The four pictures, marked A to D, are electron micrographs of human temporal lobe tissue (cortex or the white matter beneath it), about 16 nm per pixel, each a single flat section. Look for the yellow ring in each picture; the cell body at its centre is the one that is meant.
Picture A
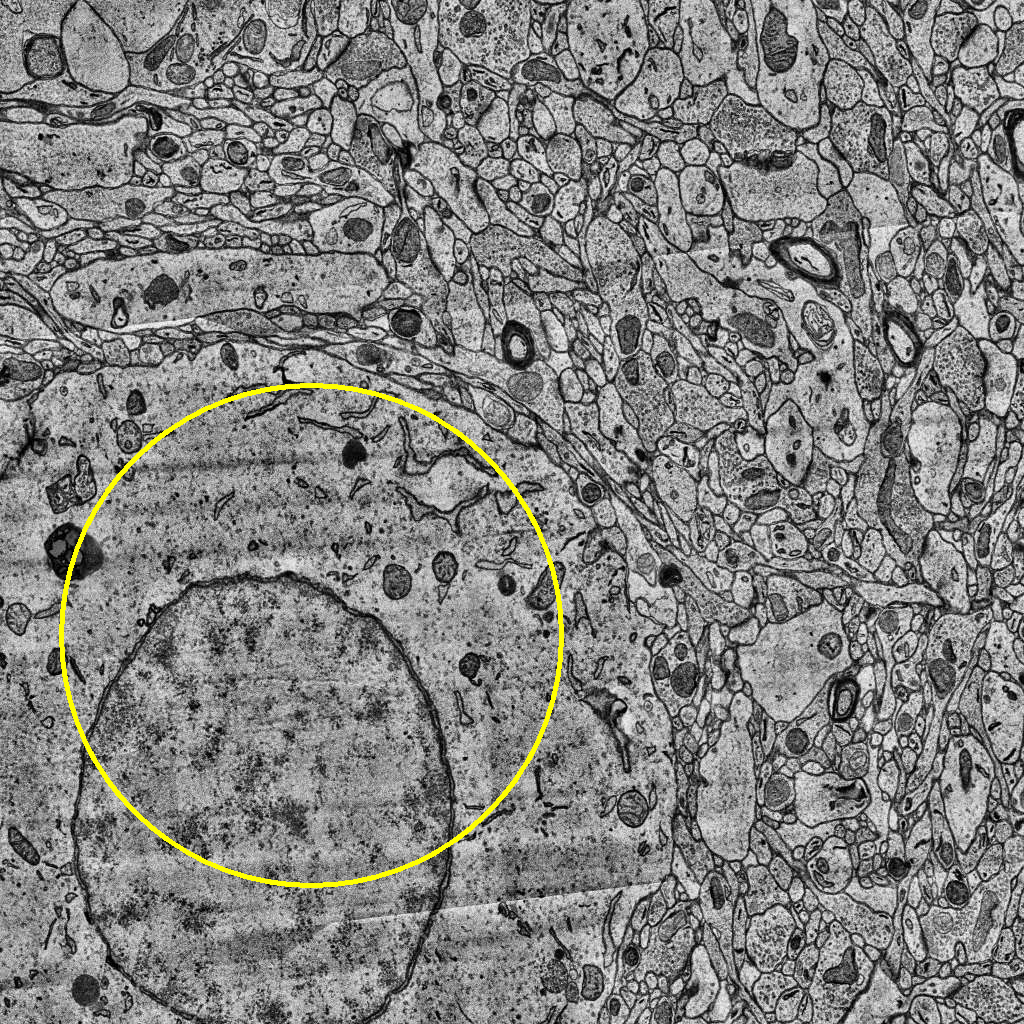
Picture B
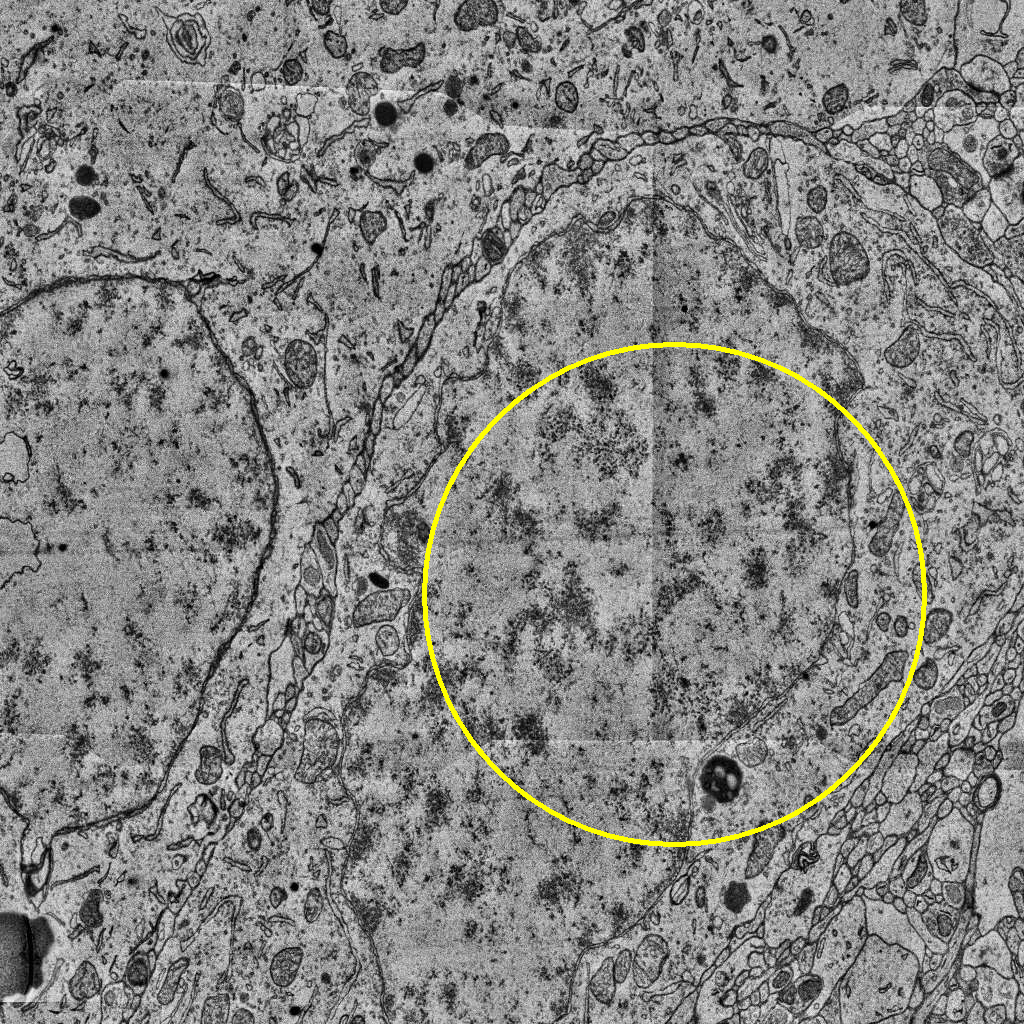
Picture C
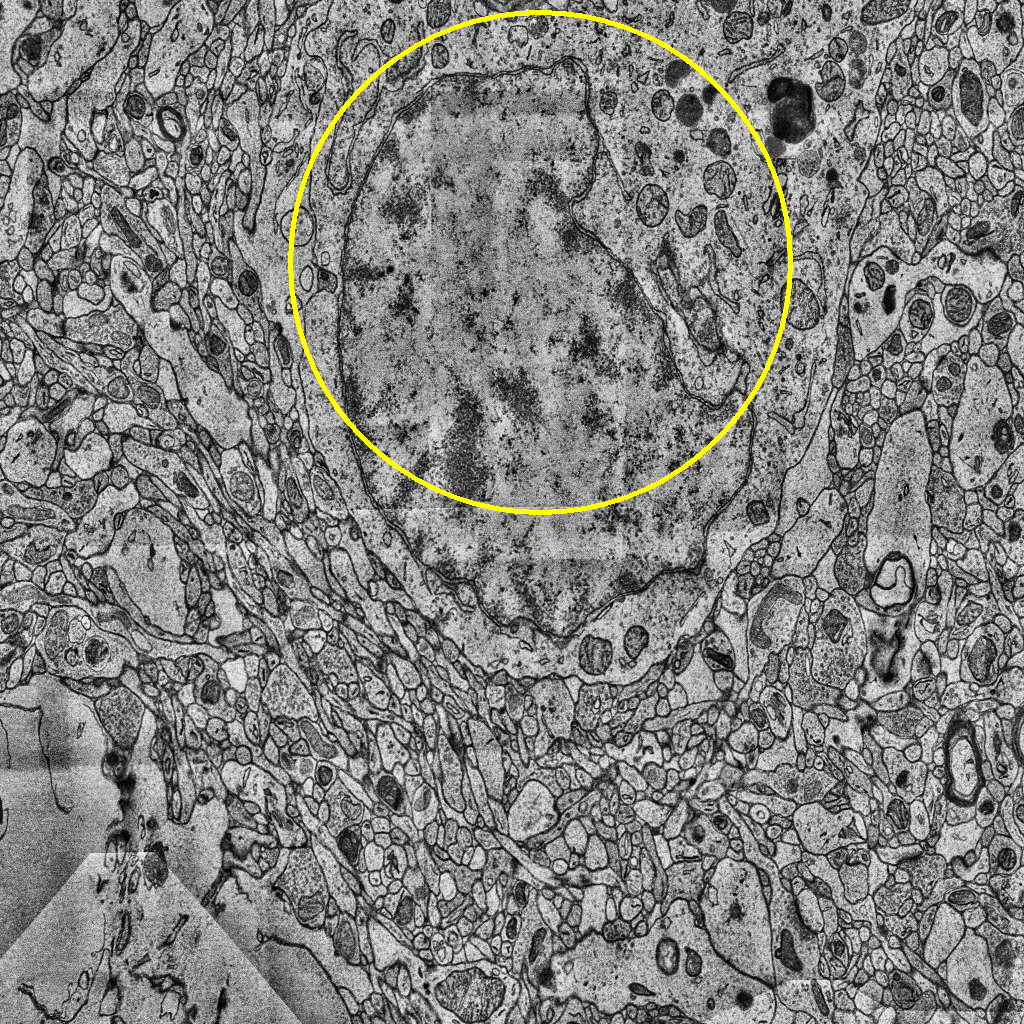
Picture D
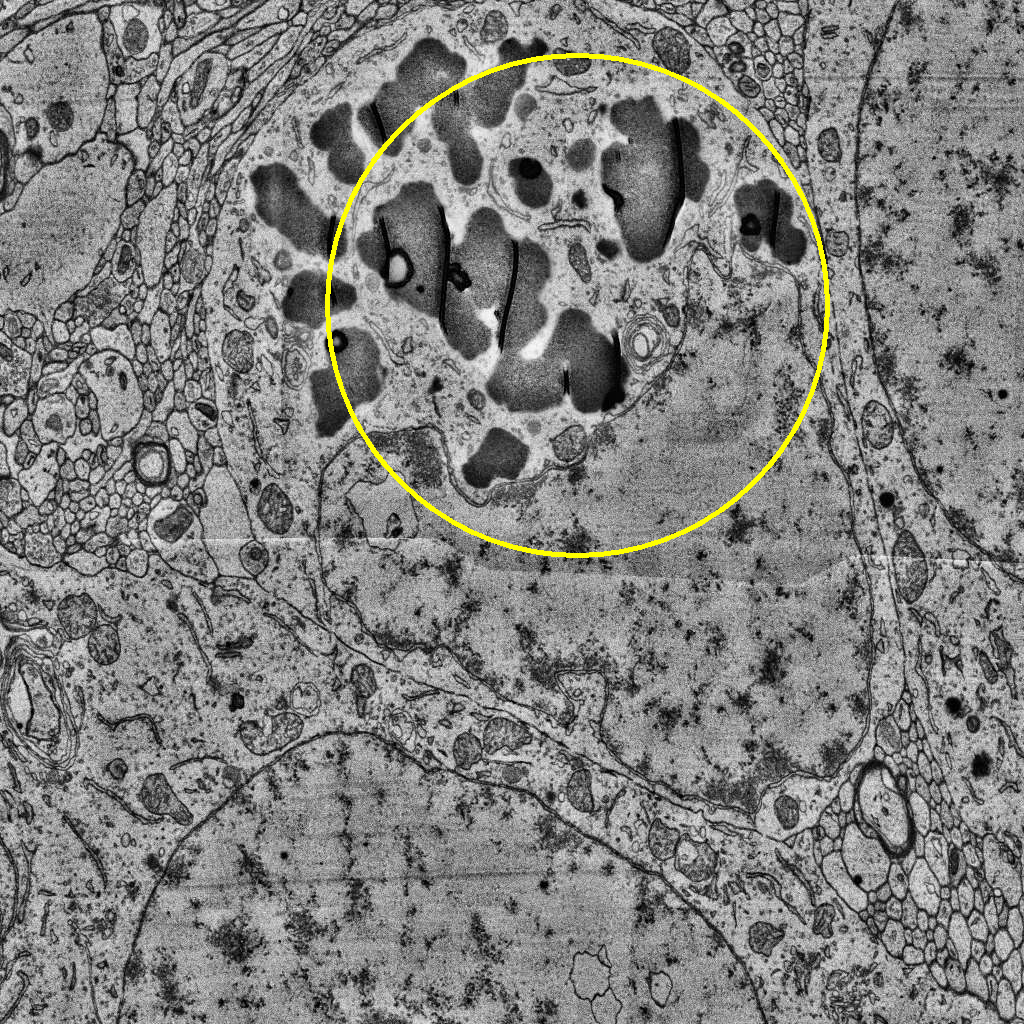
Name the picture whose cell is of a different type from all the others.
Unlike the rest, which show interneurons, picture A shows a pyramidal neuron.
